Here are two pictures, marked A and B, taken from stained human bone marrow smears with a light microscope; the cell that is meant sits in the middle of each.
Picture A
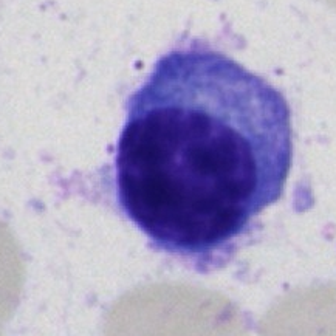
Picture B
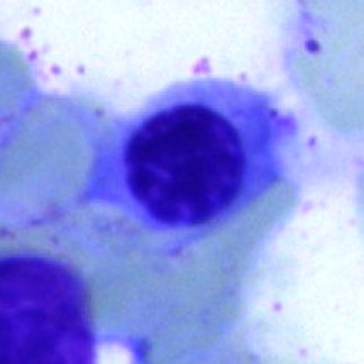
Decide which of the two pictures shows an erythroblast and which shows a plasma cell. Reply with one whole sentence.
The cell in picture A is a plasma cell, and the one in picture B is an erythroblast.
